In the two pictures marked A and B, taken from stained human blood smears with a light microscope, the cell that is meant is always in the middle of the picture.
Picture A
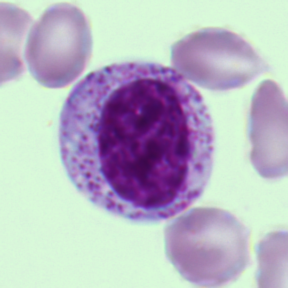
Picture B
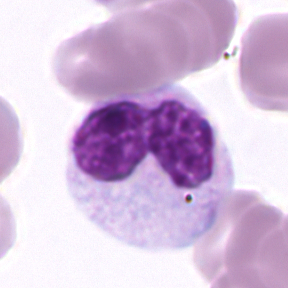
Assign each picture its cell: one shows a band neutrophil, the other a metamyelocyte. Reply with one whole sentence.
It is picture A that shows a metamyelocyte, and picture B that shows a band neutrophil.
